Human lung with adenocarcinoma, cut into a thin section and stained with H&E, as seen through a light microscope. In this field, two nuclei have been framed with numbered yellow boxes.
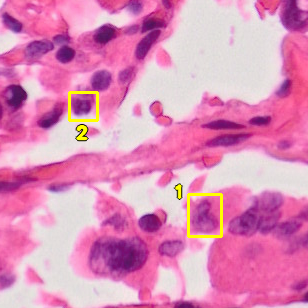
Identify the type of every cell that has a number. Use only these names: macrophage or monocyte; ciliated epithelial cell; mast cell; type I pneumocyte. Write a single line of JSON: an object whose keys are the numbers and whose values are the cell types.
{"1": "macrophage or monocyte", "2": "type I pneumocyte"}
